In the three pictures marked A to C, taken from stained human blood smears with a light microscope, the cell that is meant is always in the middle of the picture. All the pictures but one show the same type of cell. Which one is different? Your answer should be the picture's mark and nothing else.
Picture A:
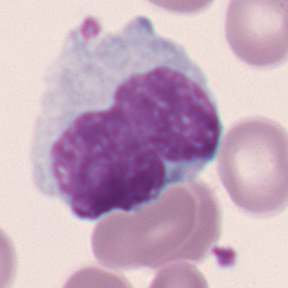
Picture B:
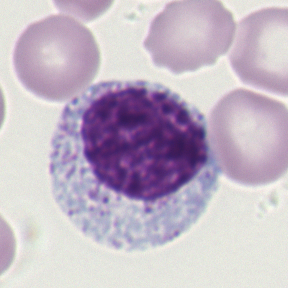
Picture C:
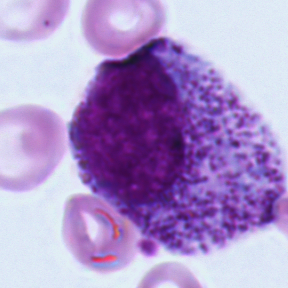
A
